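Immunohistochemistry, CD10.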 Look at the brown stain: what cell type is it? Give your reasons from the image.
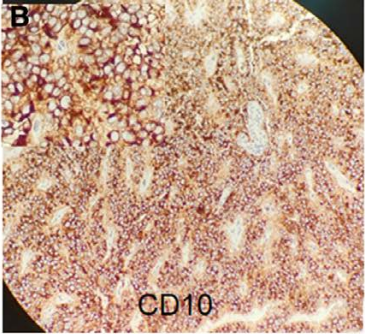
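Tumor cells. Dense sheets of closely packed cells are stained deep brown. Inset shows polygonal cells with brown-outlined borders.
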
